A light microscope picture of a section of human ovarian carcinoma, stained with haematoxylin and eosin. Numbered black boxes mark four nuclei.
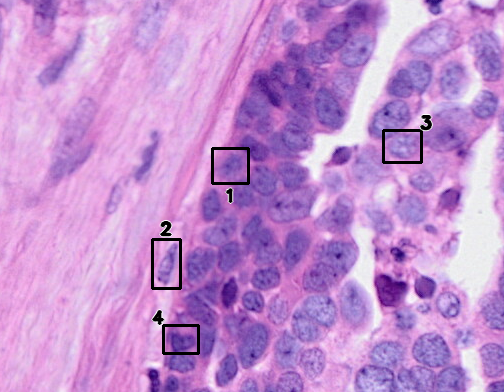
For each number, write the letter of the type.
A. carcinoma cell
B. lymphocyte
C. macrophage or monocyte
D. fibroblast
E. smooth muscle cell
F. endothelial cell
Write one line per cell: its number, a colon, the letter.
1: A
2: C
3: A
4: A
